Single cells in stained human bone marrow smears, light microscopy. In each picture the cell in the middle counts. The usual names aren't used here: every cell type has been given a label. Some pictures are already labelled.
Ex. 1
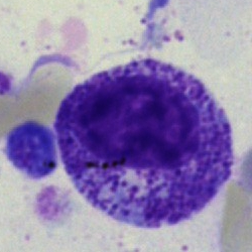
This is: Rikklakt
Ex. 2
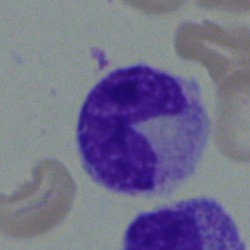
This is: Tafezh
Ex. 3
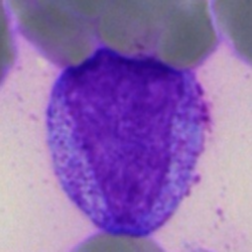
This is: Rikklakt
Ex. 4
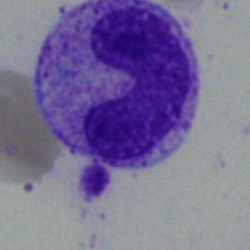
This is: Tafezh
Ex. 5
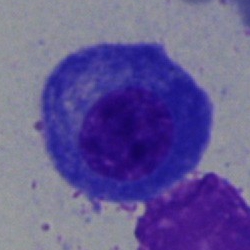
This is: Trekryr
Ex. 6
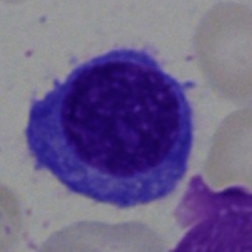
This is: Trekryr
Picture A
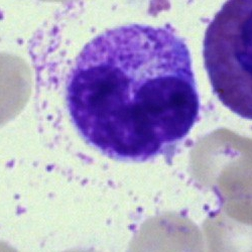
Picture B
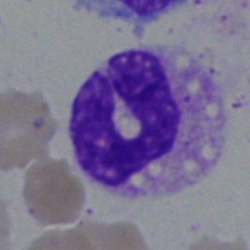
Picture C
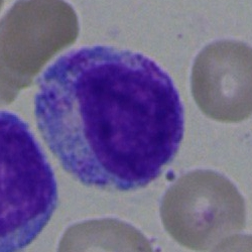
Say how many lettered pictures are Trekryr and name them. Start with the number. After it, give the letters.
0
